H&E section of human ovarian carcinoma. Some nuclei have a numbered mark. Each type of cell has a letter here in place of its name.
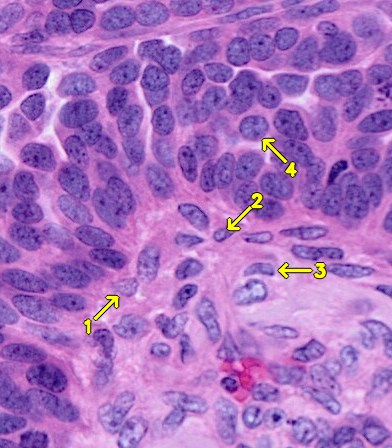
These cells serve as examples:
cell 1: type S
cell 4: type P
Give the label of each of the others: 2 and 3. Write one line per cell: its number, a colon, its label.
2: type S
3: type S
